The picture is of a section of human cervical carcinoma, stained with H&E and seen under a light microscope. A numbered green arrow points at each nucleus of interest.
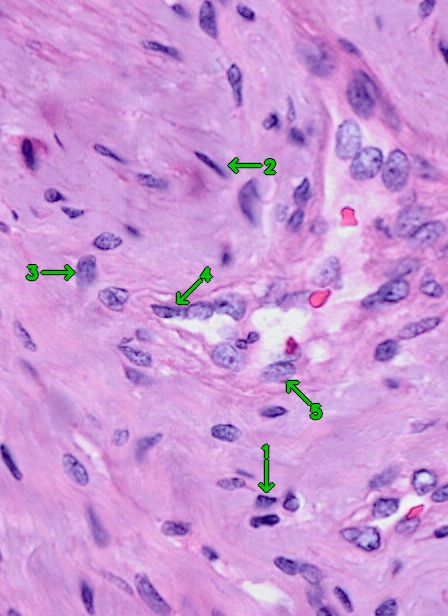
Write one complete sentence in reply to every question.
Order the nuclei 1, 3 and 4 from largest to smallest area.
The nuclei rank 3, 4, 1, from largest to smallest.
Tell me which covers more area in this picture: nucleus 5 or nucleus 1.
The larger nucleus is 5, at roughly 2 times the area of 1.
